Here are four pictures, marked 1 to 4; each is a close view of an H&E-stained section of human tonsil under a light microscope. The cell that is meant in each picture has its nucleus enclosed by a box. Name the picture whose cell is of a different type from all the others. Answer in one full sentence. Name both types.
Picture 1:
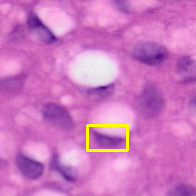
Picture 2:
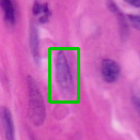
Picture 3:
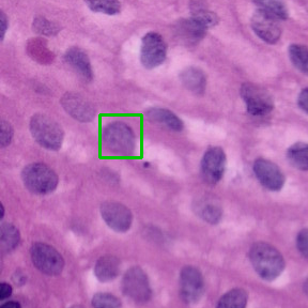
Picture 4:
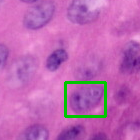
Picture 2 differs, because its cell is an endothelial cell and the rest are squamous epithelial cells.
